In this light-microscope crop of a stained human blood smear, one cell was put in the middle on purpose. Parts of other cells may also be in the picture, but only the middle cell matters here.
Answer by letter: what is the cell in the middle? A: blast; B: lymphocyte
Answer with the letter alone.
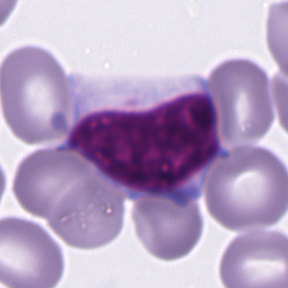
B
